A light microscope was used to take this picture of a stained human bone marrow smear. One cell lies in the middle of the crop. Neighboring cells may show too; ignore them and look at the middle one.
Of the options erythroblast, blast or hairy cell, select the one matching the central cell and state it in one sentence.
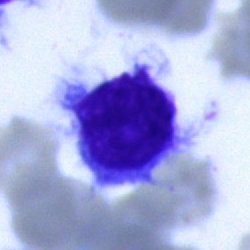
The cell in the exact centre of the crop is a hairy cell.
